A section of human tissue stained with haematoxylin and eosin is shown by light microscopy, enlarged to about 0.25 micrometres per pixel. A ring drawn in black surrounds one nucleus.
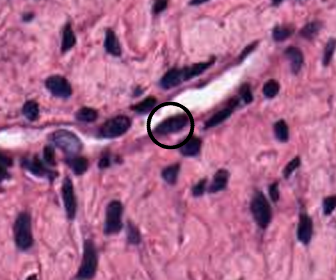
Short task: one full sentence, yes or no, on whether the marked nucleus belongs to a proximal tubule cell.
No, the marked nucleus is carried by a supporting cell rather than by a proximal tubule cell.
